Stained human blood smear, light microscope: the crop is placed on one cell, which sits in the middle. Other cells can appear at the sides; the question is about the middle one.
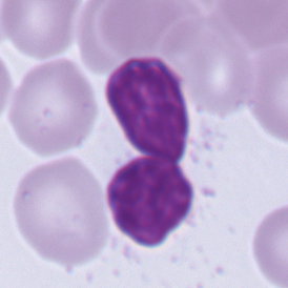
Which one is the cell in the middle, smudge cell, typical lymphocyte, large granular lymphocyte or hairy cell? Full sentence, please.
The cell at the middle of the frame should be recorded as a smudge cell.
